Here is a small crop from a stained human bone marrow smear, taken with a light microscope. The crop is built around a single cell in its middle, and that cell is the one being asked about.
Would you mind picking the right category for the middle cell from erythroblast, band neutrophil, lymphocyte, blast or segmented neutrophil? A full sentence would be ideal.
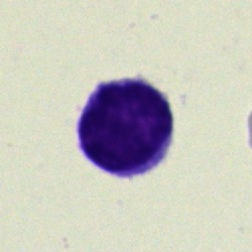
In the centre of this crop there is a lymphocyte.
